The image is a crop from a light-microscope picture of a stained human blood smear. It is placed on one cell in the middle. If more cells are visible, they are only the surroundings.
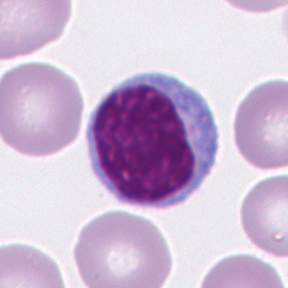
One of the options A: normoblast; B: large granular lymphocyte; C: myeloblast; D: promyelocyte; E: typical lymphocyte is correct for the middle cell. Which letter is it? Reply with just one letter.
E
